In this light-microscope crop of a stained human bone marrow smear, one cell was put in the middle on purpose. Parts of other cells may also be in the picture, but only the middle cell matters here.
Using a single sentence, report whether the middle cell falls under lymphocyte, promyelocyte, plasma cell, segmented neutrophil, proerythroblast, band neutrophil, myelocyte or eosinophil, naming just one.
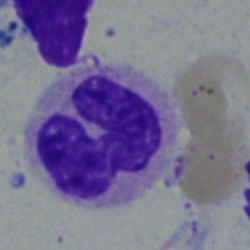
The cell centered in this field of view is a band neutrophil.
